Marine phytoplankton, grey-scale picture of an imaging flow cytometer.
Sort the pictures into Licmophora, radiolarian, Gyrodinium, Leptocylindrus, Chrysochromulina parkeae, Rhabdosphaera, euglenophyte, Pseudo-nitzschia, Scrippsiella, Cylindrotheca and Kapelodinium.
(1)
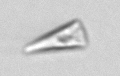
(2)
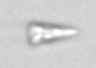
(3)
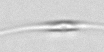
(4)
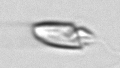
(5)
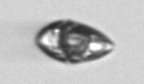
Licmophora: 1, 2
Cylindrotheca: 3
Kapelodinium: 4
Gyrodinium: 5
